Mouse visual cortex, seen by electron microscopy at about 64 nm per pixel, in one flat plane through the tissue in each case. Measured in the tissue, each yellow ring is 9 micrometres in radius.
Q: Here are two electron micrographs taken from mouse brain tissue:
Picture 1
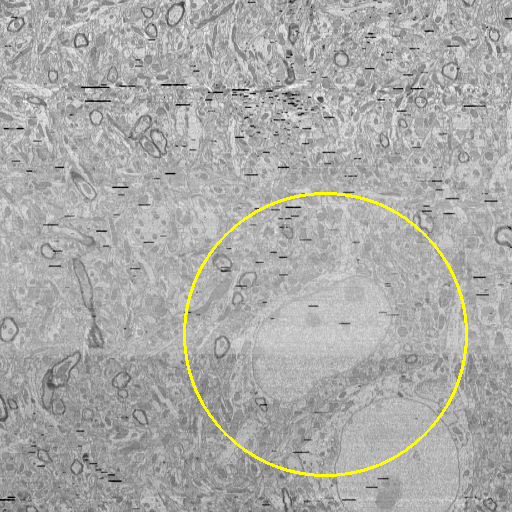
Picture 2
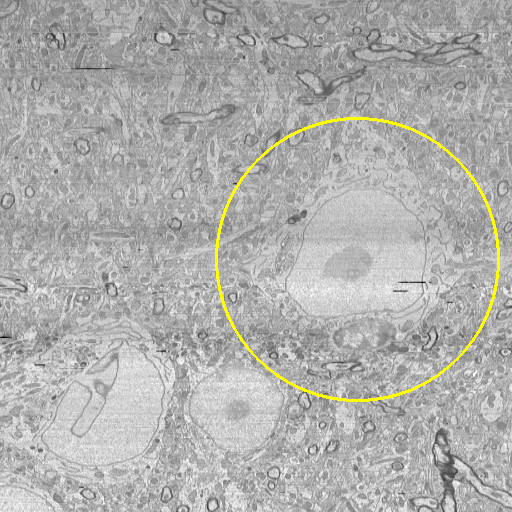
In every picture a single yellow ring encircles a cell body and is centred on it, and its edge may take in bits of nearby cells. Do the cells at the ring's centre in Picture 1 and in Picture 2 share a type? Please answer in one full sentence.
No, the cells at the ring's centre in Picture 1 and Picture 2 are of two types.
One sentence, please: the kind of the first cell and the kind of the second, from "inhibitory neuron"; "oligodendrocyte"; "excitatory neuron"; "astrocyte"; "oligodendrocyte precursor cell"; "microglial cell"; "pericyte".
The ring in the first picture surrounds an astrocyte, and the ring in the second surrounds an excitatory neuron.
